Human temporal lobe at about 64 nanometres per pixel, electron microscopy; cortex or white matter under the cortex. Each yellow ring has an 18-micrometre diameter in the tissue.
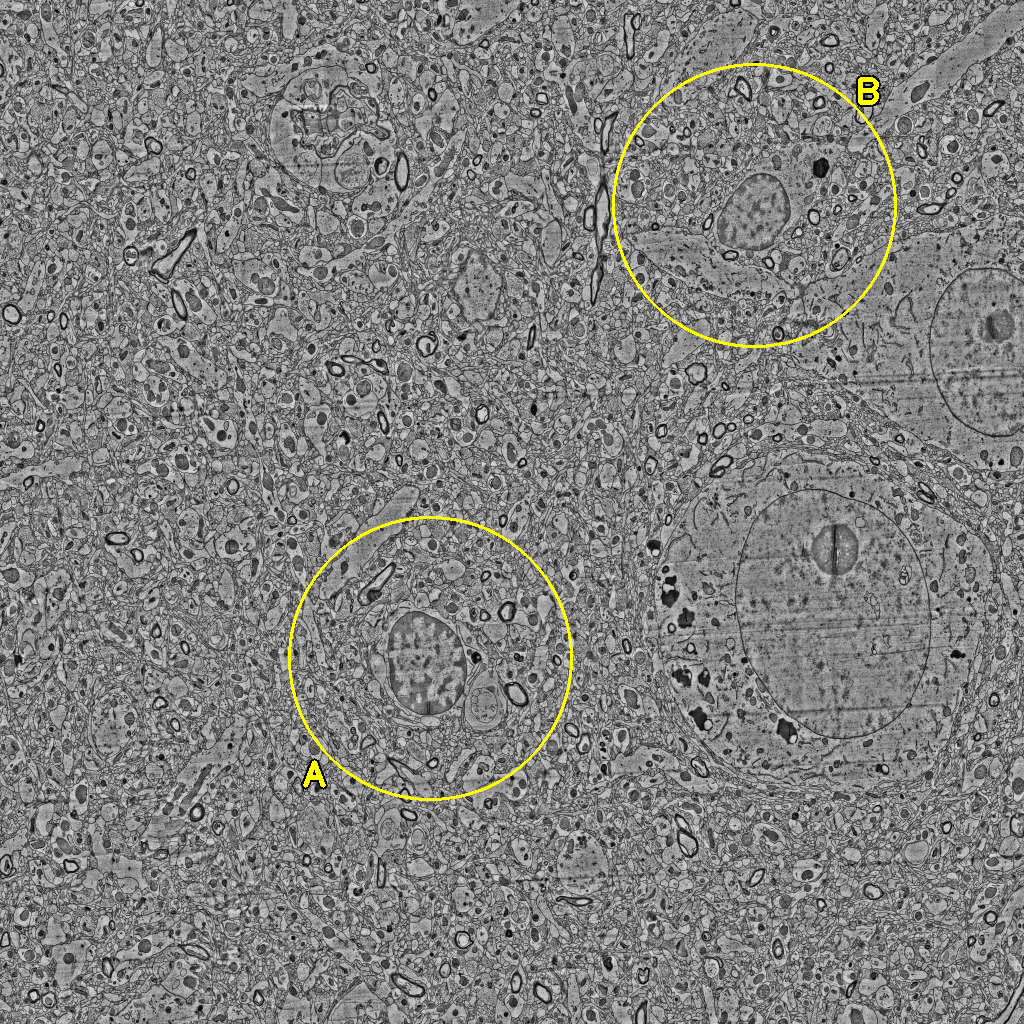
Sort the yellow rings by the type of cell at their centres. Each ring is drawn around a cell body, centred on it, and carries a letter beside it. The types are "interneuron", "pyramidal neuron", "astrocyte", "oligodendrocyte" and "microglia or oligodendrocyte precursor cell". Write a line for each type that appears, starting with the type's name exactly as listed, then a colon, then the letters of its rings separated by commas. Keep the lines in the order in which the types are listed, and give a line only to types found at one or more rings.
oligodendrocyte: B
microglia or oligodendrocyte precursor cell: A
